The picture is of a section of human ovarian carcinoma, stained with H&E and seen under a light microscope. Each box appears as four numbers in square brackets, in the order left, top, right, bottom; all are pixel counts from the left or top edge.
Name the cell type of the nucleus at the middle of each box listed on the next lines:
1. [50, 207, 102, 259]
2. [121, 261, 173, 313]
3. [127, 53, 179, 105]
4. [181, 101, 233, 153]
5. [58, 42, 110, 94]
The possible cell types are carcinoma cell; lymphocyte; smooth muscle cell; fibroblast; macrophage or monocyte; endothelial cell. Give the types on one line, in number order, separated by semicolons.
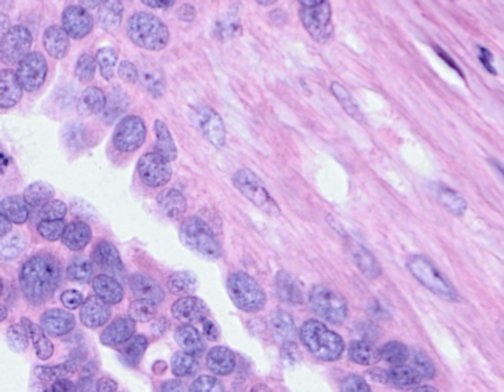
carcinoma cell; carcinoma cell; fibroblast; fibroblast; carcinoma cell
